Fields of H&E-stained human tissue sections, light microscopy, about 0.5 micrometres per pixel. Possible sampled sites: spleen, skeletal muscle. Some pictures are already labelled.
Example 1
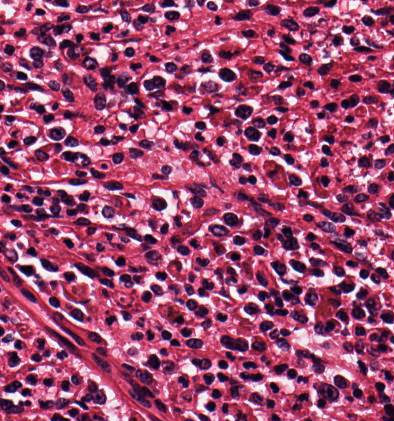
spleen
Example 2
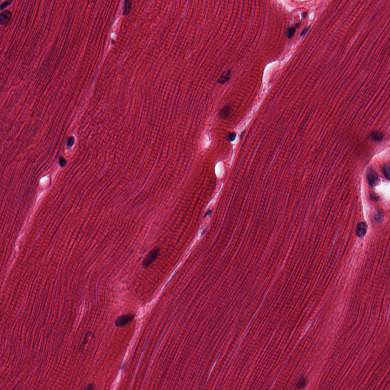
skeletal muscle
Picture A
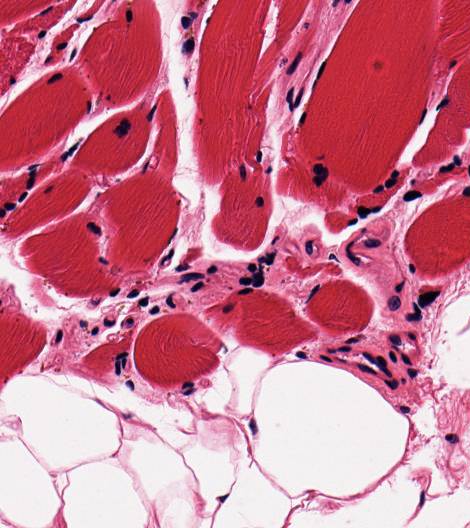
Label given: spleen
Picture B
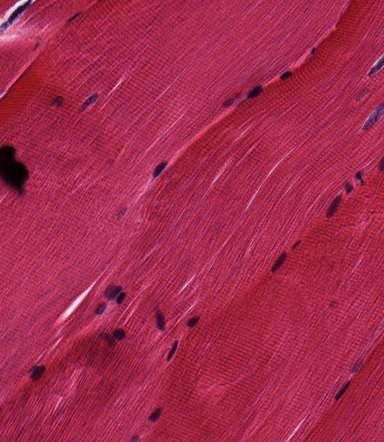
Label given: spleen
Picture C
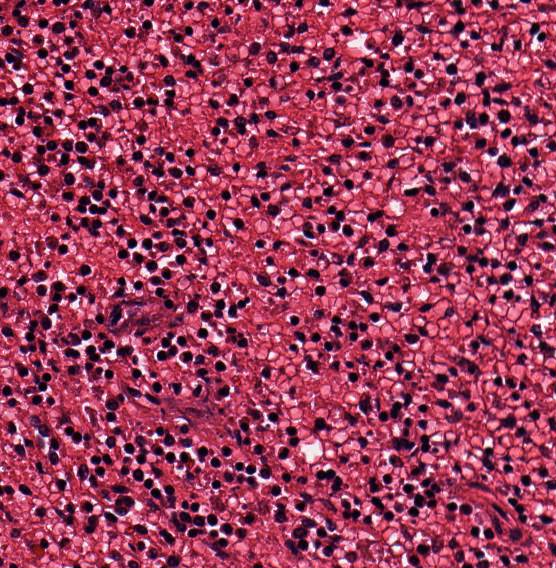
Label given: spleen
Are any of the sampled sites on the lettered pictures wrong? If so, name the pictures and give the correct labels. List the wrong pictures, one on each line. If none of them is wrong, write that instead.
A is labelled spleen; correct label: skeletal muscle
B is labelled spleen; correct label: skeletal muscle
